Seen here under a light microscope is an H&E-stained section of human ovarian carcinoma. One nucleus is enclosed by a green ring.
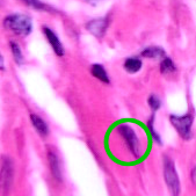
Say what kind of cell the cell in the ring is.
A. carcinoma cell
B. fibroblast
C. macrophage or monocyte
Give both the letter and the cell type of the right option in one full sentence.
Among the choices, option B is correct, the cell in the ring being a fibroblast.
